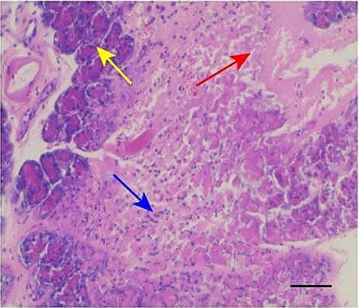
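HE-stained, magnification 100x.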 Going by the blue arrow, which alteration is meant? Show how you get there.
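Inflammatory cells infiltration. Many small, dark, scattered nuclei lie in the pale damaged tissue the arrow points to. These small round nuclei are not arranged into acini.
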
